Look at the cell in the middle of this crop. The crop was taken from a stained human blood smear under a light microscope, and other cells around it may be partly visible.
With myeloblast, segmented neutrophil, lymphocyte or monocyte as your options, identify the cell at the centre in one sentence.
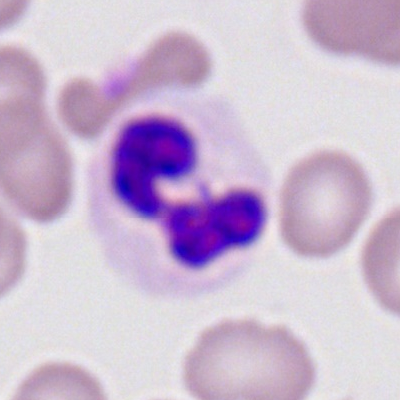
The cell at the middle of the crop is recognized as a segmented neutrophil.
